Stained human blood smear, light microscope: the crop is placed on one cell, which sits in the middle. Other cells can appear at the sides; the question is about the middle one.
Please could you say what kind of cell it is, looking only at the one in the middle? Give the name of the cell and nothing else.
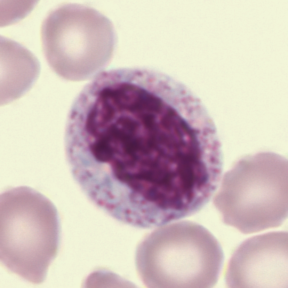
metamyelocyte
